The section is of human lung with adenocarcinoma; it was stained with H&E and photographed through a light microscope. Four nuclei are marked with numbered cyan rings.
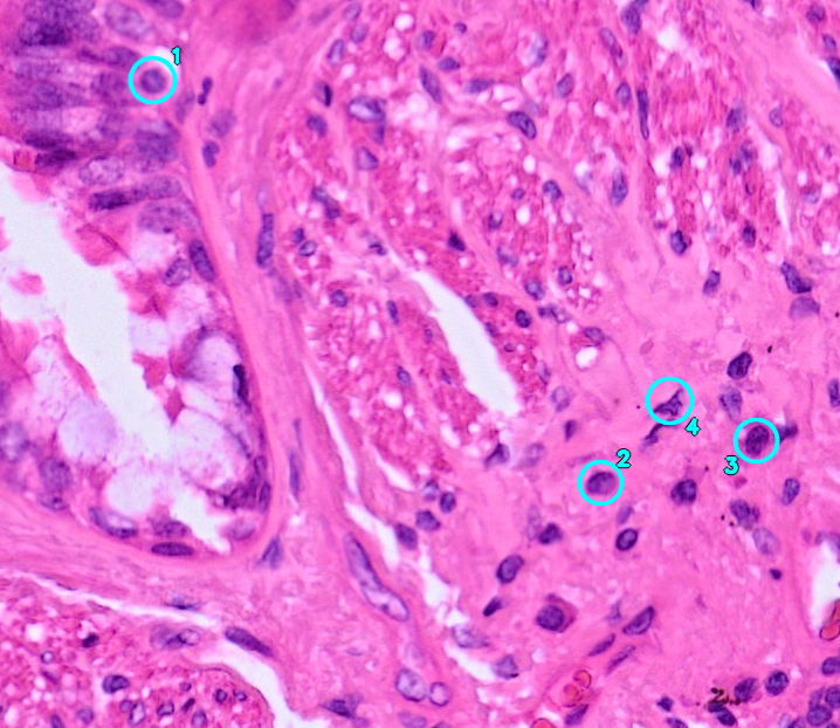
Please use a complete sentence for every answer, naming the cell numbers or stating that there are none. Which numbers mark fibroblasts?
Cell 4 is the single numbered cell that is a fibroblast.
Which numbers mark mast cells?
Cell 1 represents a mast cell, and no other numbered cell does.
